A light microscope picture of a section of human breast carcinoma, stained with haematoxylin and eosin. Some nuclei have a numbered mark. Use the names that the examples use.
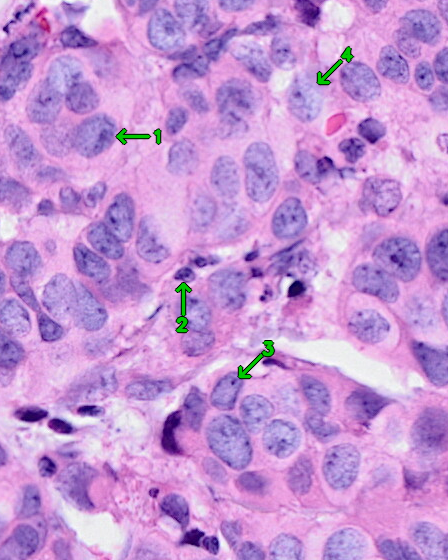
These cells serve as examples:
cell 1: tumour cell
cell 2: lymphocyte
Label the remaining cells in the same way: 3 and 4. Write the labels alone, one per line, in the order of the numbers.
tumour cell
tumour cell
